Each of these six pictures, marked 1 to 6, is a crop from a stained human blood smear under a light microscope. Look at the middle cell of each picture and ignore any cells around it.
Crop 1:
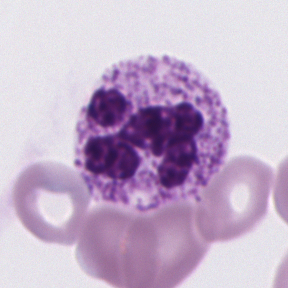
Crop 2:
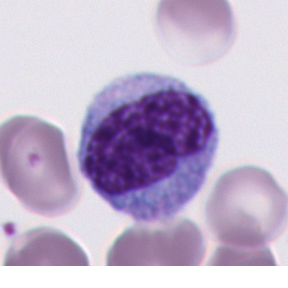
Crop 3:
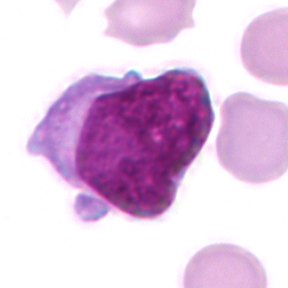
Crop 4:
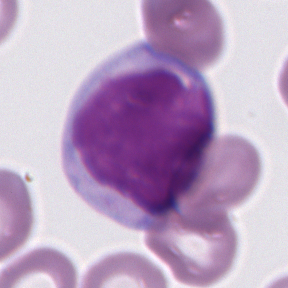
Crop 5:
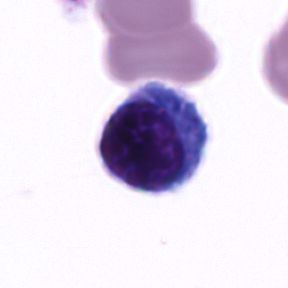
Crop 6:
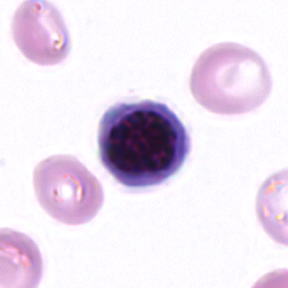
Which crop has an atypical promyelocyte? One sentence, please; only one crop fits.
Of all the crops, crop 3 is the one showing an atypical promyelocyte.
